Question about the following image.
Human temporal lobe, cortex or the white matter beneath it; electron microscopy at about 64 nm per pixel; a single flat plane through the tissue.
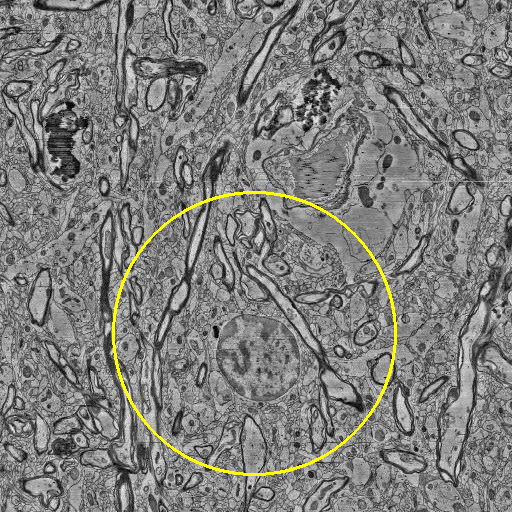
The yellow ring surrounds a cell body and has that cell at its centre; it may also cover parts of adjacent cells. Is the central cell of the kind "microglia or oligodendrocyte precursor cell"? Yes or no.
Yes, it is of that kind.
